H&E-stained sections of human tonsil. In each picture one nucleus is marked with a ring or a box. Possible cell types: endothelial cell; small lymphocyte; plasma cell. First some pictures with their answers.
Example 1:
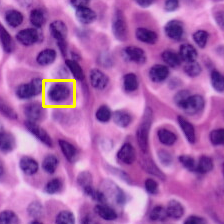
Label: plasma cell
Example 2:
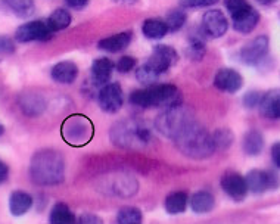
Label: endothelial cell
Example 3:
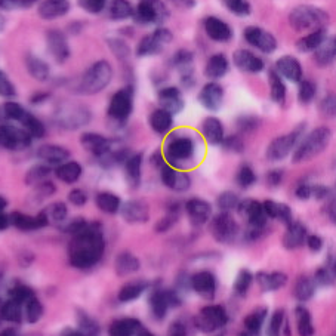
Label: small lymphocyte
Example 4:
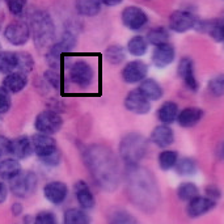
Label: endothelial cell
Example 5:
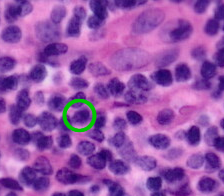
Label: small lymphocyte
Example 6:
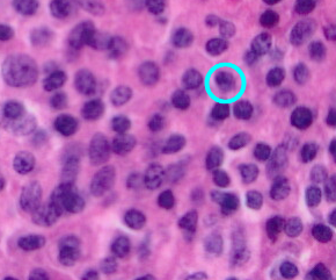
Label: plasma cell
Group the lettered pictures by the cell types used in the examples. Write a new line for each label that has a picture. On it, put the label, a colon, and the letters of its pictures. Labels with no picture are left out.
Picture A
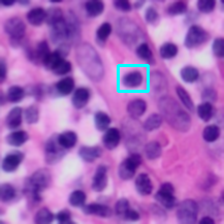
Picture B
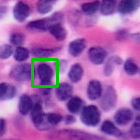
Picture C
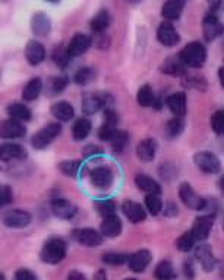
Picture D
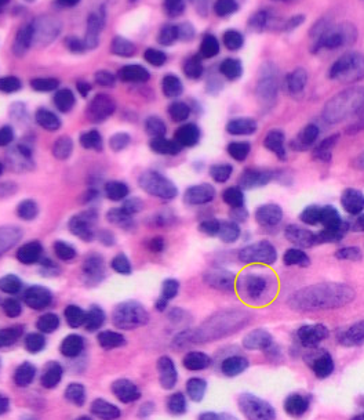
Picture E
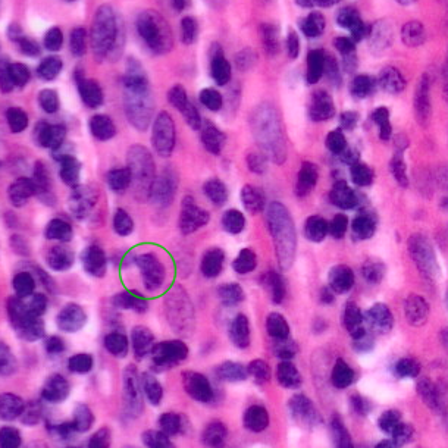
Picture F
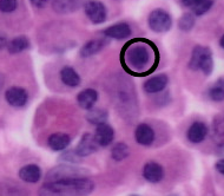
endothelial cell: A, D, E
small lymphocyte: B, C
plasma cell: F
